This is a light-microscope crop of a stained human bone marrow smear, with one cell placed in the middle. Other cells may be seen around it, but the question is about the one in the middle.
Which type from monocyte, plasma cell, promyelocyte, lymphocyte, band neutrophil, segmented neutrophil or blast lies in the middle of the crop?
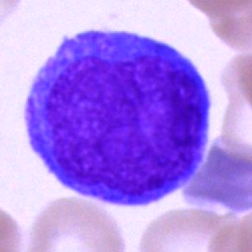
blast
